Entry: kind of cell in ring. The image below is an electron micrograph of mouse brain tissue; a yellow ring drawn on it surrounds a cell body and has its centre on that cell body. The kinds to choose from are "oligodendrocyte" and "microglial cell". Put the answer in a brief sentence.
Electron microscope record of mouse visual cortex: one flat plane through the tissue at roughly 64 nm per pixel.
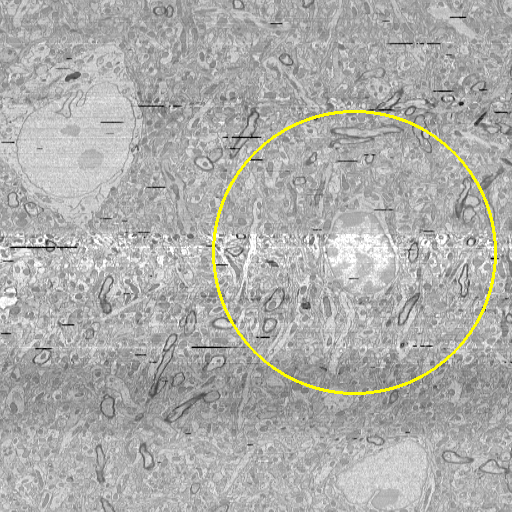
The ring has been drawn around an oligodendrocyte.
